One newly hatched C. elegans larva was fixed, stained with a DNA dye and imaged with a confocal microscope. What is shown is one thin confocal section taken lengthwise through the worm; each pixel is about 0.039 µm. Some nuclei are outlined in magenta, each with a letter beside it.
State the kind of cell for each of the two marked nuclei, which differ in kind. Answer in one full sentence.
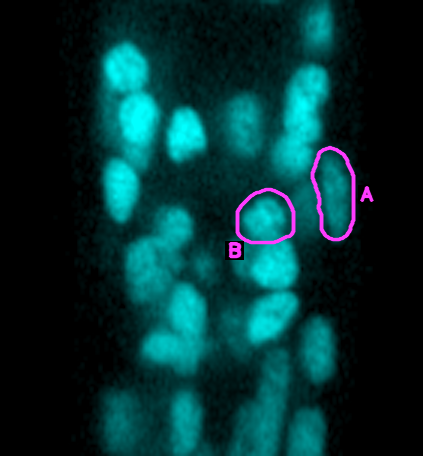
B belongs to a neuron, and A to a hypodermal cell (hyp).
